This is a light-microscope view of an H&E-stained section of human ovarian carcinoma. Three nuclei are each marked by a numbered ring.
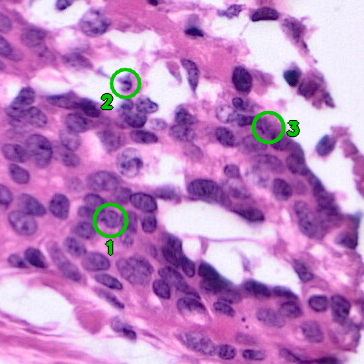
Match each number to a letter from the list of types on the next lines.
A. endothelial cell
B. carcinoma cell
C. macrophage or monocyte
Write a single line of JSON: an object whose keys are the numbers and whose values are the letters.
{"1": "B", "2": "C", "3": "B"}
